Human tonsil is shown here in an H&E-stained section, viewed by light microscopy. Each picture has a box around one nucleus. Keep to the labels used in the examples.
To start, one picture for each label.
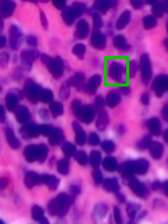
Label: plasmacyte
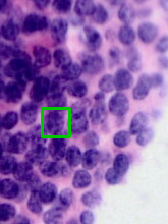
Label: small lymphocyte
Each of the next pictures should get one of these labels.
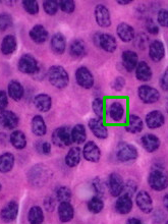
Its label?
plasmacyte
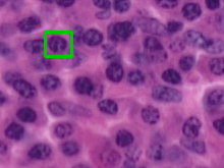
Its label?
plasmacyte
